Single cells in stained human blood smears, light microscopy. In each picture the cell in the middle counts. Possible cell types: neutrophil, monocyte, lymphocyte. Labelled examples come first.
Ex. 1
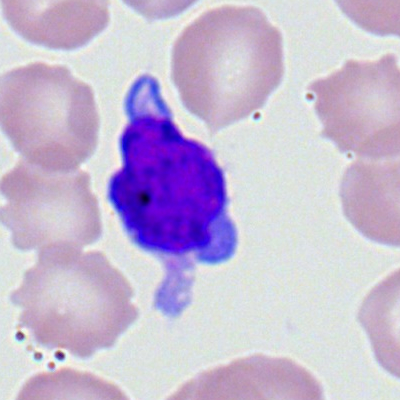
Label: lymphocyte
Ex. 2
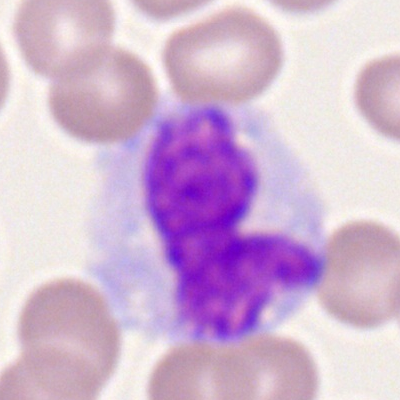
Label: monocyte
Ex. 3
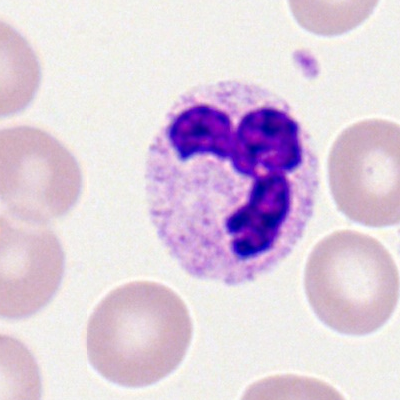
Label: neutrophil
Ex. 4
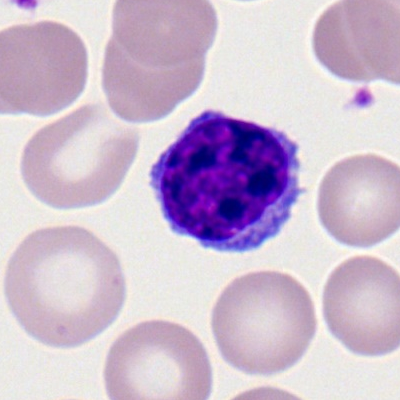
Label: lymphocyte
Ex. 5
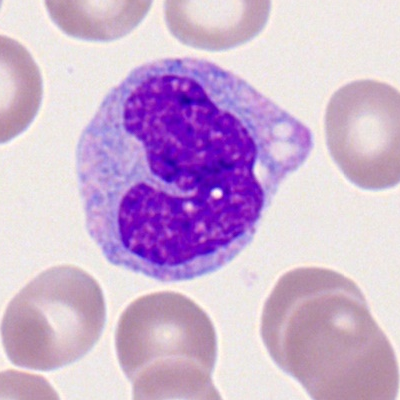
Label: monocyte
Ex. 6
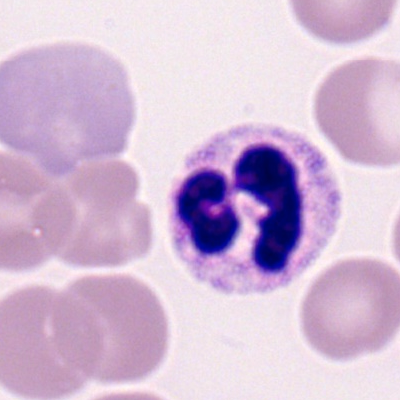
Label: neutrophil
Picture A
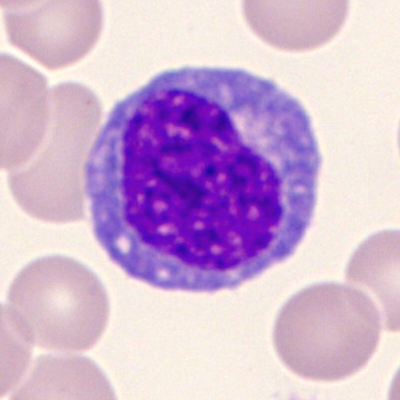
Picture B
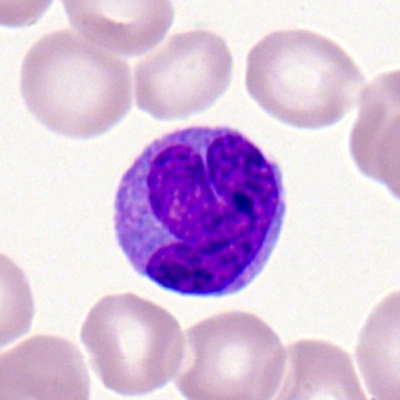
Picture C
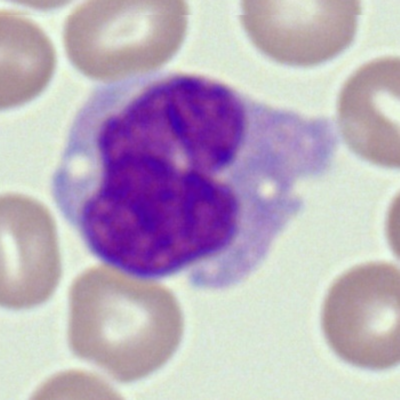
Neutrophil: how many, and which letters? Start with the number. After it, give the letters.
0, none of them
